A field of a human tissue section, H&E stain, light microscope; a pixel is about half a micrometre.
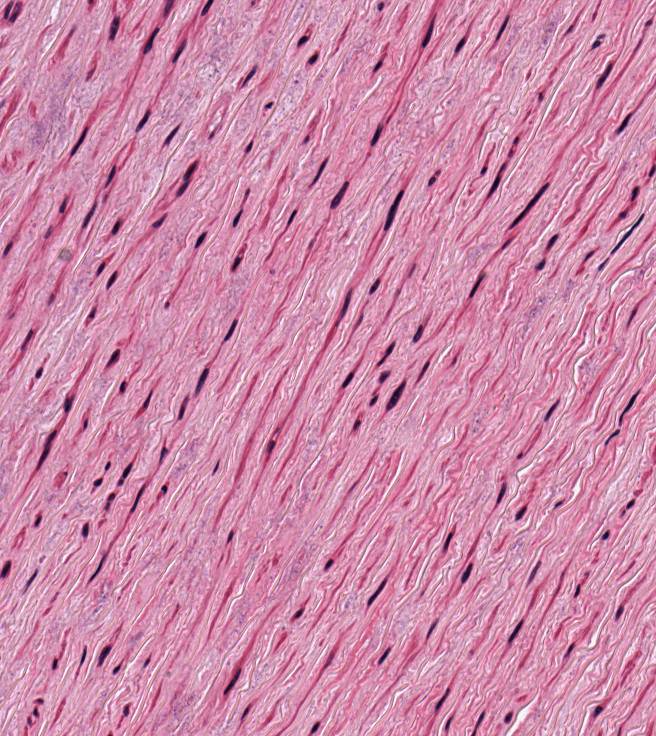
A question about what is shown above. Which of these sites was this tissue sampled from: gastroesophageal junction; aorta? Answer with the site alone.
aorta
